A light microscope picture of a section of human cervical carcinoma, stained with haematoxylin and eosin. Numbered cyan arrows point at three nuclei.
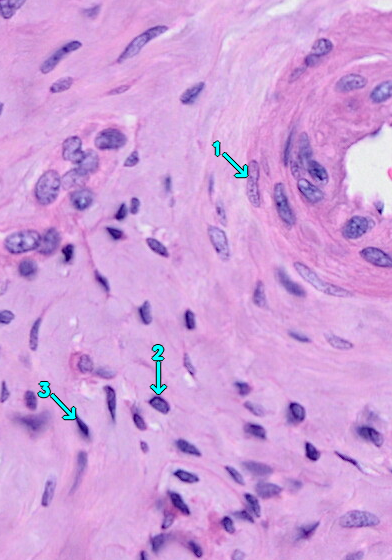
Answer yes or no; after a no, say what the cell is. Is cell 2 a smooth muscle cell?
No, it is a fibroblast.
